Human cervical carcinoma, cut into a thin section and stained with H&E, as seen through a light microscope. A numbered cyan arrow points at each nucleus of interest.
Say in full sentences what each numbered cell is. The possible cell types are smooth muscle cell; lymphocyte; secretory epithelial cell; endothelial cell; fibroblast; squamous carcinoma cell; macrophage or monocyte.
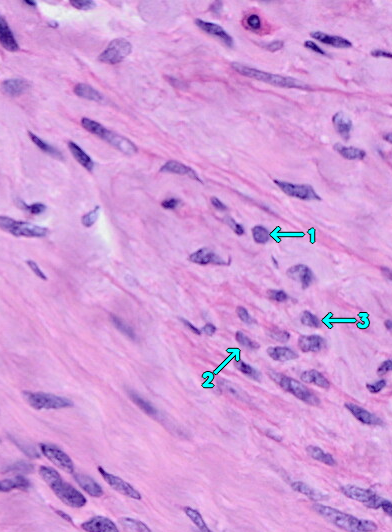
Cell 1 is a fibroblast. Cells 2 and 3 are smooth muscle cells.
